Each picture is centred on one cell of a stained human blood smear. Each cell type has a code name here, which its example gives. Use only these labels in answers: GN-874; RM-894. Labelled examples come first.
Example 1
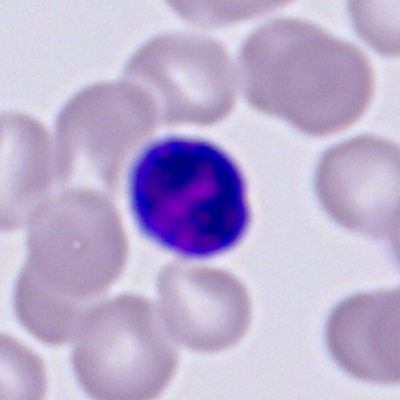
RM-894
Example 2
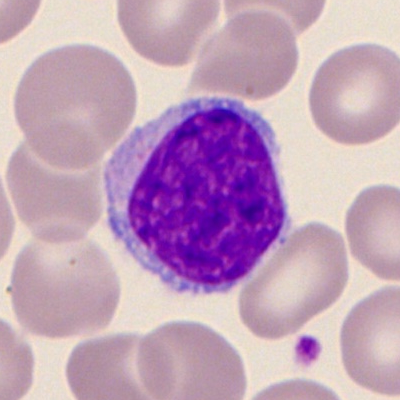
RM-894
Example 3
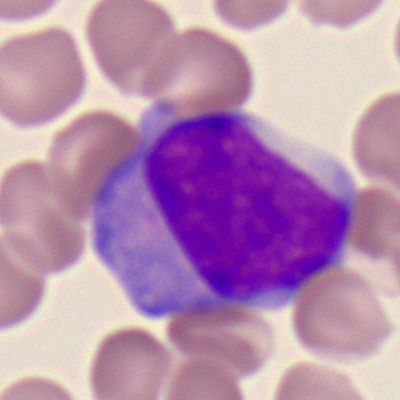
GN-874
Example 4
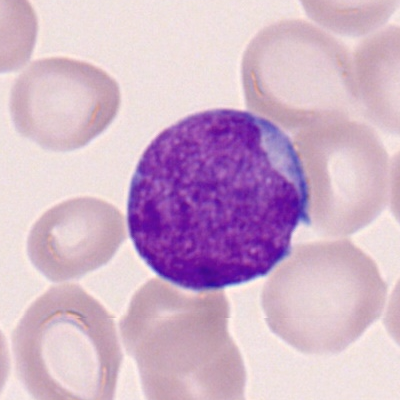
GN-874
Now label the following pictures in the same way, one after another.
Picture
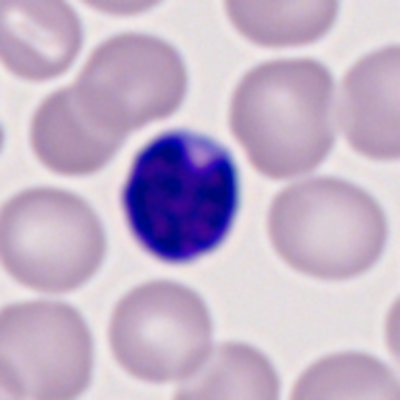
RM-894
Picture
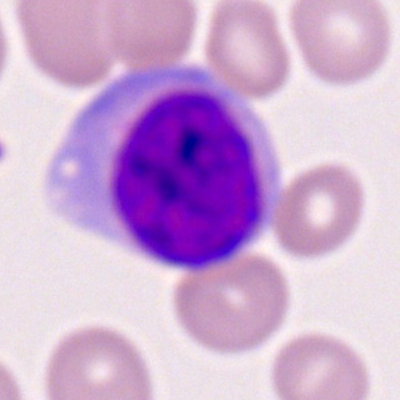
RM-894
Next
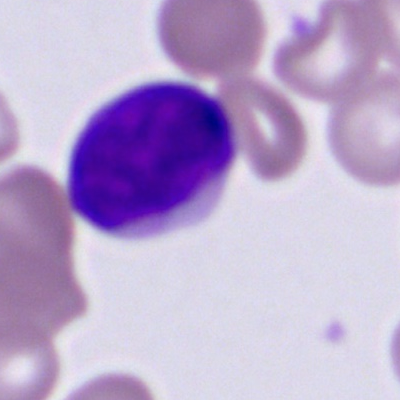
GN-874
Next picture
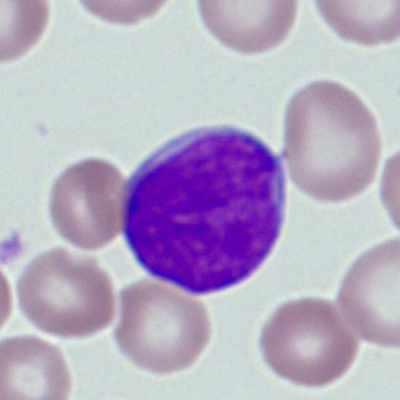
GN-874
